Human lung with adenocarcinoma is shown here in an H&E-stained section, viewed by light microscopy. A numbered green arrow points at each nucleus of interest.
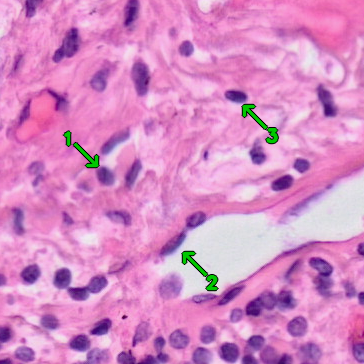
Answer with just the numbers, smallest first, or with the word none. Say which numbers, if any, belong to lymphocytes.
1, 3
